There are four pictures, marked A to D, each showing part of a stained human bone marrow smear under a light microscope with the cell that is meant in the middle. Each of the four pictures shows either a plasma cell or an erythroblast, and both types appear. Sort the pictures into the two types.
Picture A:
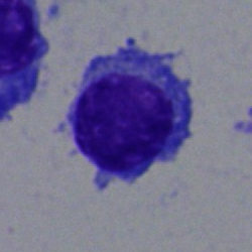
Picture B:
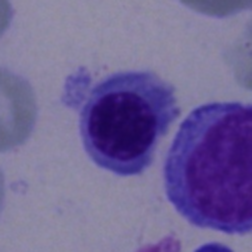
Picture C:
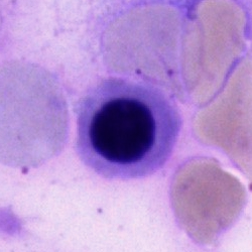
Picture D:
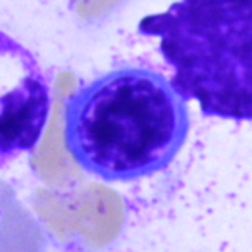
A: plasma cell
B: erythroblast
C: erythroblast
D: erythroblast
